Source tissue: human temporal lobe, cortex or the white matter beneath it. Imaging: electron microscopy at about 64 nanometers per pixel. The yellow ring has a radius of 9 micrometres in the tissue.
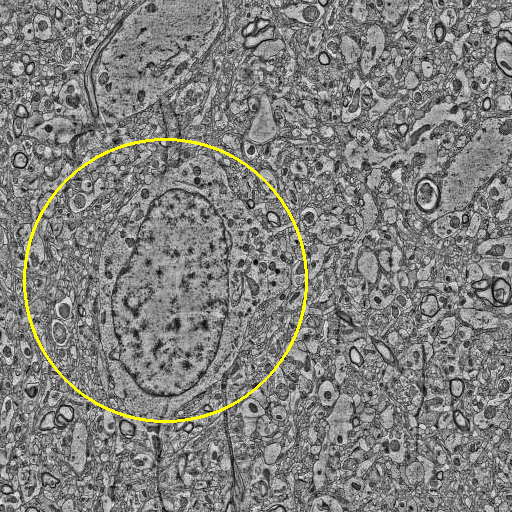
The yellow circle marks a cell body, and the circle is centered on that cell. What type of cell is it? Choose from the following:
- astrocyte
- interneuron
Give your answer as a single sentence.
This cell body belongs to an interneuron.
